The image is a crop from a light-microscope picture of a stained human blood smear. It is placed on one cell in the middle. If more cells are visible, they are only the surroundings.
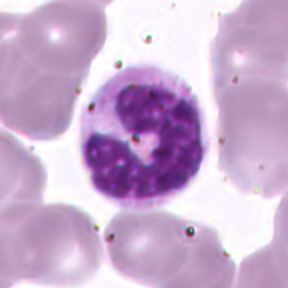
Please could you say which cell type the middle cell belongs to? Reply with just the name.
band neutrophil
